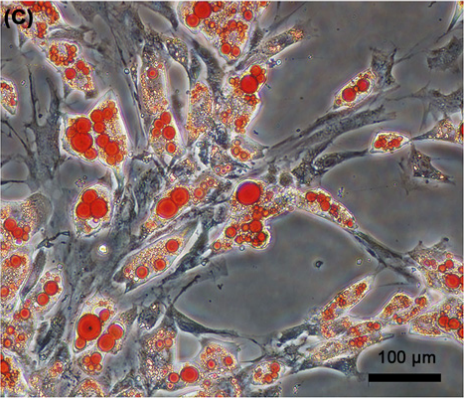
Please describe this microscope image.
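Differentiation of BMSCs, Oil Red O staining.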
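Cultured cells are seen, many of them filled with round, bright red droplets of various sizes, from fine granules to large globules. In some cells the droplets are crowded so densely that they fill the cytoplasm, while others hold a few large spheres. Between them run grey, elongated spindle-shaped cells without red droplets.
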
